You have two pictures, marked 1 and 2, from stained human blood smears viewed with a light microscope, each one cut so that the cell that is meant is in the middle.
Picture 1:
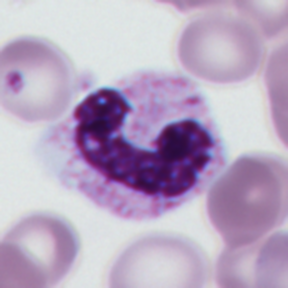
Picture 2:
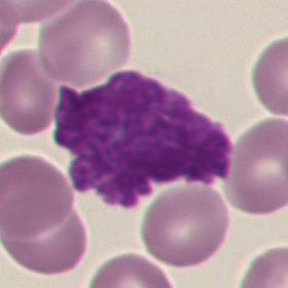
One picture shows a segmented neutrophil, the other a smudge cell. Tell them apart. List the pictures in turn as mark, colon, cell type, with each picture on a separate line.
1: segmented neutrophil
2: smudge cell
